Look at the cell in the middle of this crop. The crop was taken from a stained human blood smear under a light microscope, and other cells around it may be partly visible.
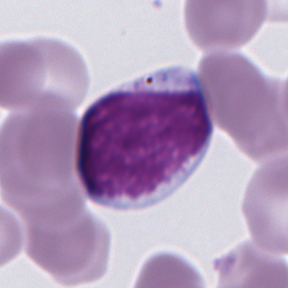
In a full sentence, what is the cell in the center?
The middle cell in this particular crop is a large granular lymphocyte.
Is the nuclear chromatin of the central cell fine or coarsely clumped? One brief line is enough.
Coarse clumps are absent, and the chromatin is fine throughout.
